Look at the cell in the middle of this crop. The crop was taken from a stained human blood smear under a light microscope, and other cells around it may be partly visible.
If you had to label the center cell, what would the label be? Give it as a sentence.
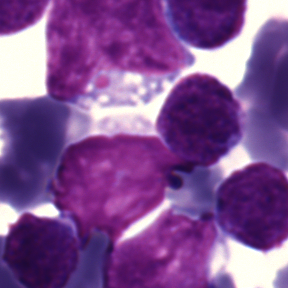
The middle of this crop is occupied by a myeloblast.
